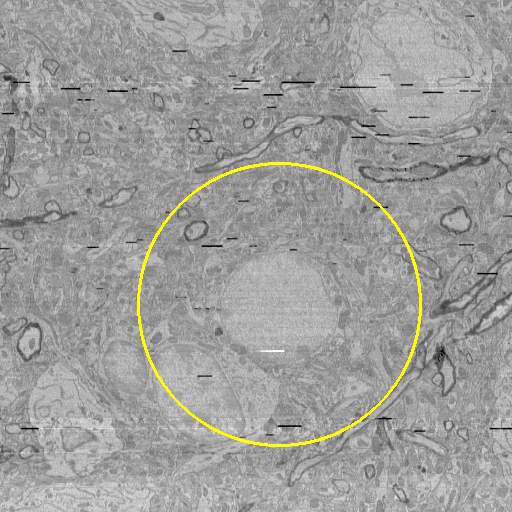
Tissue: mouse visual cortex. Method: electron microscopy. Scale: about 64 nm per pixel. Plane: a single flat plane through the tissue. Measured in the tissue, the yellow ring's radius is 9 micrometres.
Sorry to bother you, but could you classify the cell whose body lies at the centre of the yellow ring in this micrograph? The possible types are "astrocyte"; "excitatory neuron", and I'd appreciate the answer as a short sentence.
The ringed cell body is that of an astrocyte.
